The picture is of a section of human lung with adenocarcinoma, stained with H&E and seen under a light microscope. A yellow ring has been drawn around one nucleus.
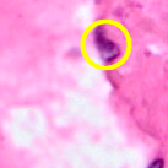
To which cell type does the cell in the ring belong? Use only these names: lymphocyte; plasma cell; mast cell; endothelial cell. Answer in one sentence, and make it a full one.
In the context of this tissue, the cell in the ring is an endothelial cell.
